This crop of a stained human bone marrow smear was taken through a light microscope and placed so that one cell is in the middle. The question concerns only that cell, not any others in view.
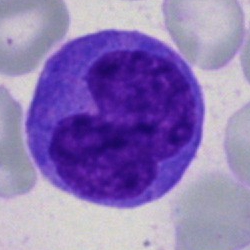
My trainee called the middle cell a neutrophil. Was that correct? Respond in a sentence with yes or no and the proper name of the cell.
No, the cell in the middle is categorised as a monocyte, not a neutrophil.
